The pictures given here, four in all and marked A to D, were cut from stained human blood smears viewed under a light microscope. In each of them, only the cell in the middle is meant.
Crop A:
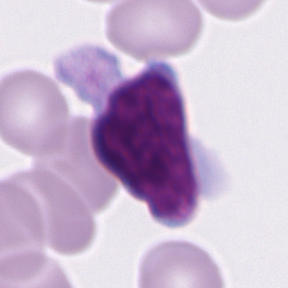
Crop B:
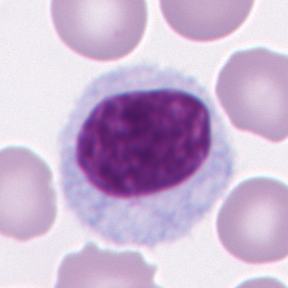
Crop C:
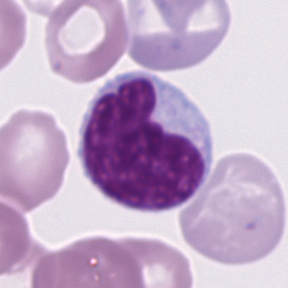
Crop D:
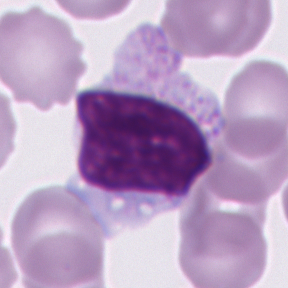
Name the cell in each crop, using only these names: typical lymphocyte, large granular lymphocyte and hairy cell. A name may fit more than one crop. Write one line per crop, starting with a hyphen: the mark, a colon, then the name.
- A: typical lymphocyte
- B: hairy cell
- C: typical lymphocyte
- D: large granular lymphocyte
